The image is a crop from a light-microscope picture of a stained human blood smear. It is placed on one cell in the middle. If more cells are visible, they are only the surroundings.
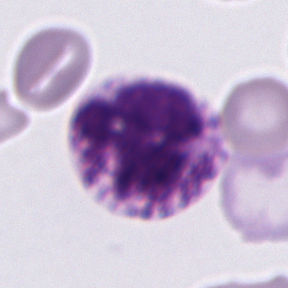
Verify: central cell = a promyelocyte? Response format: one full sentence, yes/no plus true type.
No, the cell occupying the centre is a basophil, not a promyelocyte.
